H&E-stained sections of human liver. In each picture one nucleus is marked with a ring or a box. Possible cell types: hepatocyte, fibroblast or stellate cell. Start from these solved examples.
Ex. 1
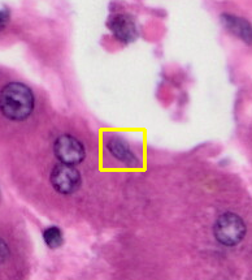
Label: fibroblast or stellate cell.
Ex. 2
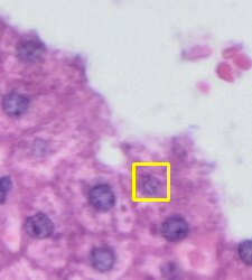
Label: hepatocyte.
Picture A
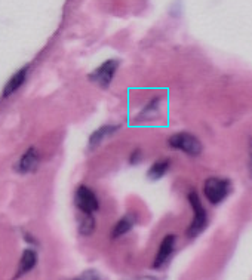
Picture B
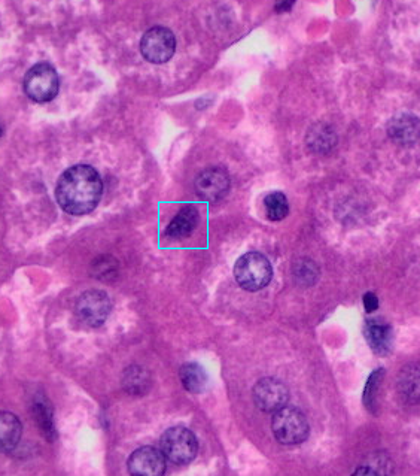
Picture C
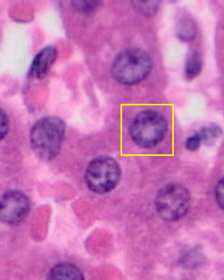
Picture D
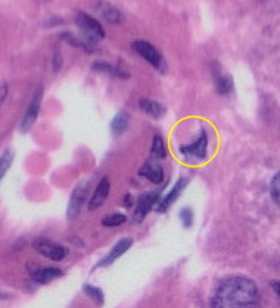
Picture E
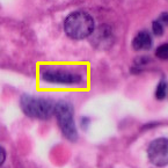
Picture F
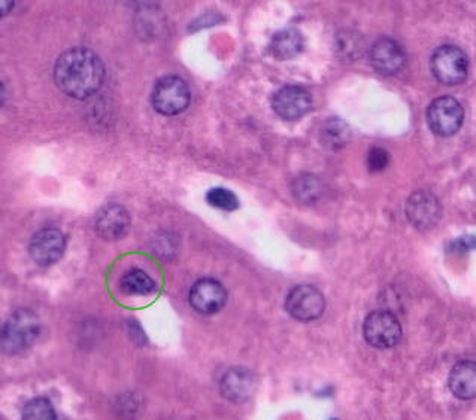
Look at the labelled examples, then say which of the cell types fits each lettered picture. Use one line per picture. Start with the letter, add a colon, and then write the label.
A: fibroblast or stellate cell.
B: fibroblast or stellate cell.
C: hepatocyte.
D: fibroblast or stellate cell.
E: fibroblast or stellate cell.
F: fibroblast or stellate cell.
